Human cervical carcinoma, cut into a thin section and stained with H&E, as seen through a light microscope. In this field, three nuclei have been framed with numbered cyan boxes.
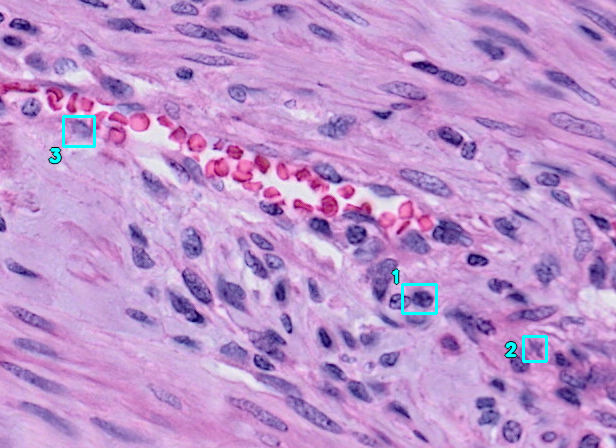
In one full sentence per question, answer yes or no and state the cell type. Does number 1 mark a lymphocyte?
Yes, the cell that bears the number 1 is a lymphocyte.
